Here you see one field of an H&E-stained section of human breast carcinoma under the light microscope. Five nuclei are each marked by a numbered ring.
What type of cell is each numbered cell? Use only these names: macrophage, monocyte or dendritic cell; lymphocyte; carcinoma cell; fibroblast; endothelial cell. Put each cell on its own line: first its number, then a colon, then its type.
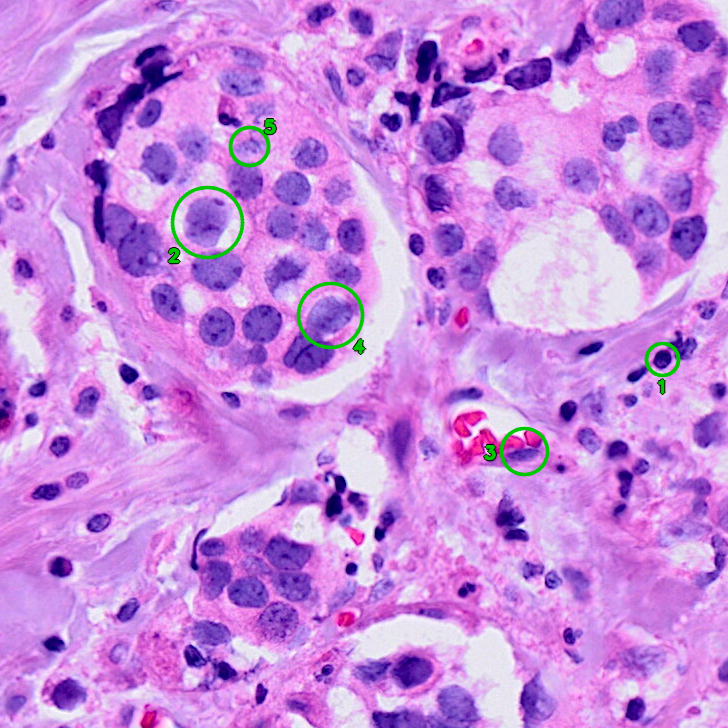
1: lymphocyte
2: carcinoma cell
3: endothelial cell
4: carcinoma cell
5: carcinoma cell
